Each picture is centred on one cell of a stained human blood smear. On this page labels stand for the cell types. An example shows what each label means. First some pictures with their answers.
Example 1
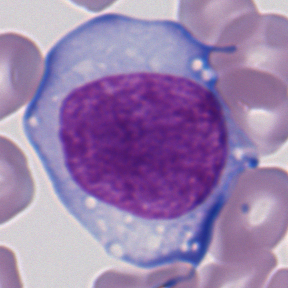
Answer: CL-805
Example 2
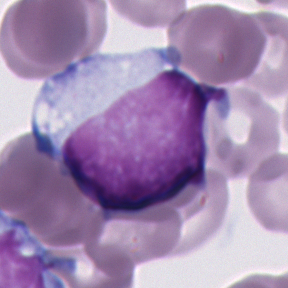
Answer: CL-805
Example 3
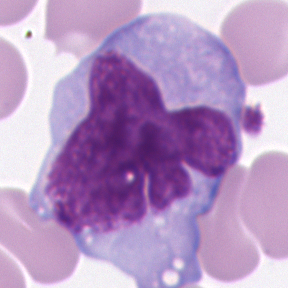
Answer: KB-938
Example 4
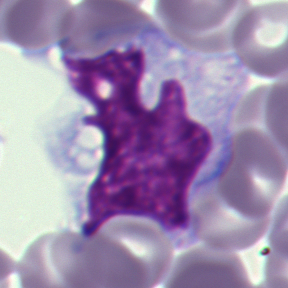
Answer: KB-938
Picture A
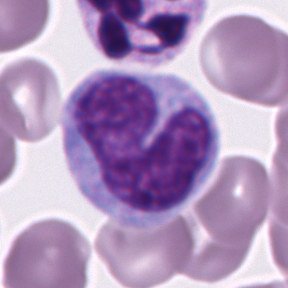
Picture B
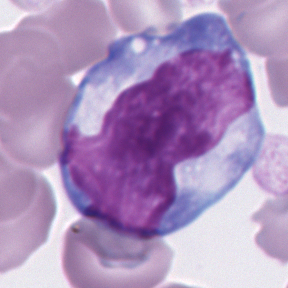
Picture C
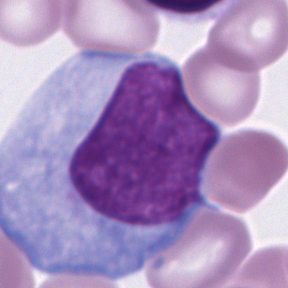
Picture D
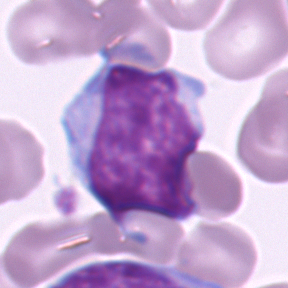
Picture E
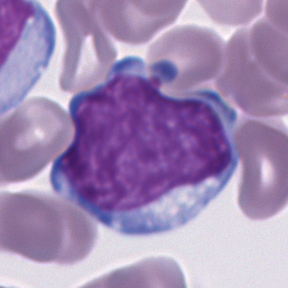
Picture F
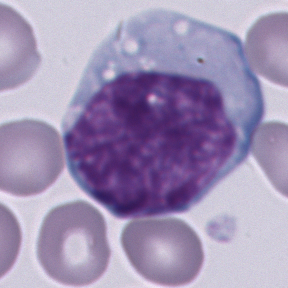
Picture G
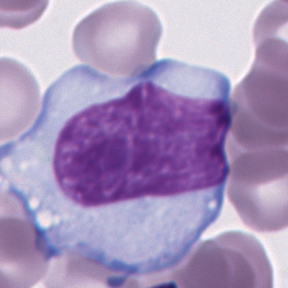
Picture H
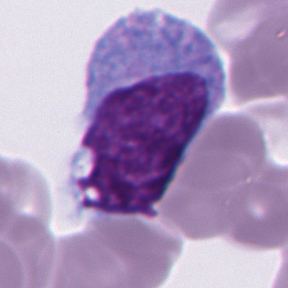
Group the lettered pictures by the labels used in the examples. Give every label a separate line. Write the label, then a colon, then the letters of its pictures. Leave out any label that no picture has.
CL-805: C, D, E, F, G
KB-938: A, B, H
